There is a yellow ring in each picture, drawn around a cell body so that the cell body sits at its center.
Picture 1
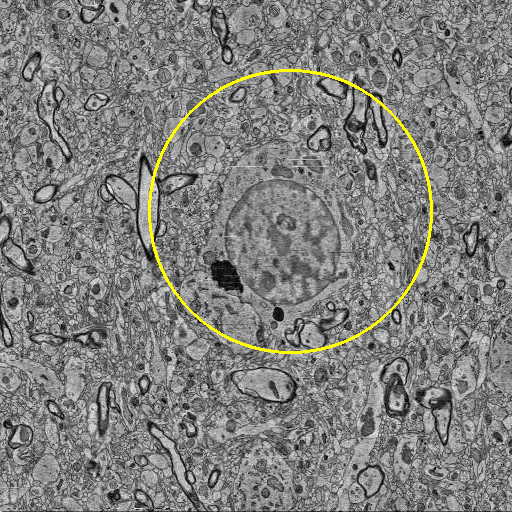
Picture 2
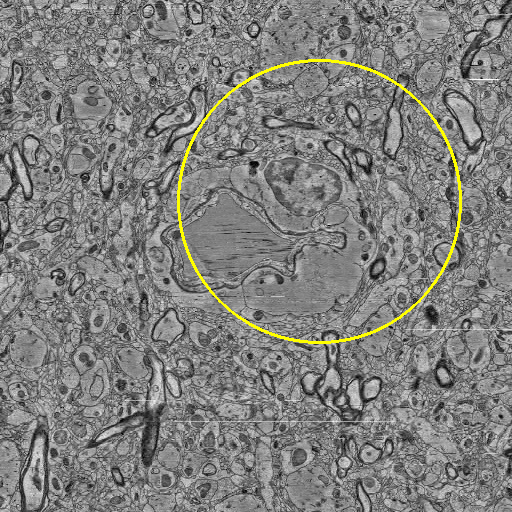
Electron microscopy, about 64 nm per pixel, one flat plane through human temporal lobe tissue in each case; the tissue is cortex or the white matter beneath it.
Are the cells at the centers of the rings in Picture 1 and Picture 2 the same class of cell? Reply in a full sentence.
No, the two cells are two classes of cell.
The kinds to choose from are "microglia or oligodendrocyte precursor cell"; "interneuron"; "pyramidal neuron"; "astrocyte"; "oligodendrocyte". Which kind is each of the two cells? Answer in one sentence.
Of the two, the first cell is an oligodendrocyte and the second cell is a microglial cell or oligodendrocyte precursor cell.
